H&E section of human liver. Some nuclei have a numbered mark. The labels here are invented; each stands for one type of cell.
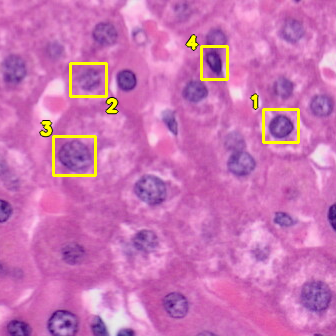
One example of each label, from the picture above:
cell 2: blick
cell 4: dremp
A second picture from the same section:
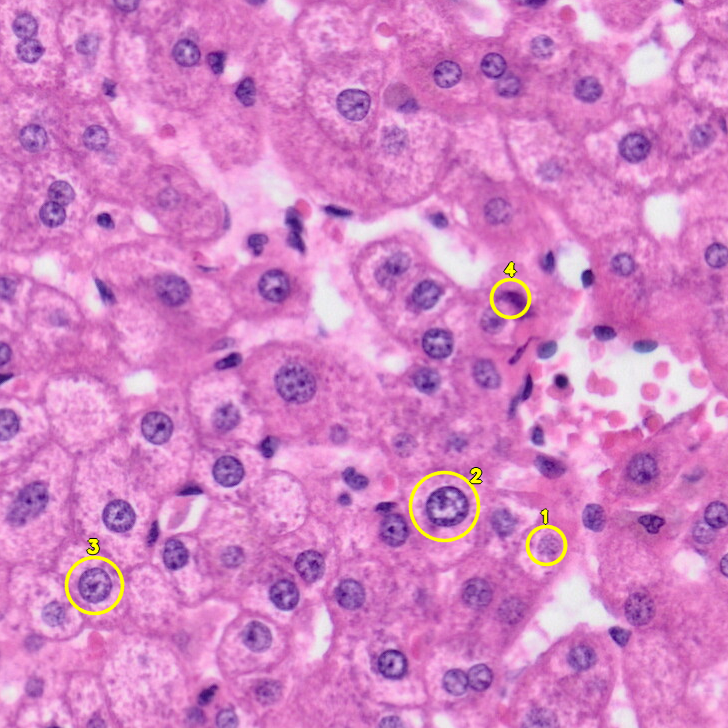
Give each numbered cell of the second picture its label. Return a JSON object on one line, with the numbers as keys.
{"1": "blick", "2": "blick", "3": "blick", "4": "dremp"}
